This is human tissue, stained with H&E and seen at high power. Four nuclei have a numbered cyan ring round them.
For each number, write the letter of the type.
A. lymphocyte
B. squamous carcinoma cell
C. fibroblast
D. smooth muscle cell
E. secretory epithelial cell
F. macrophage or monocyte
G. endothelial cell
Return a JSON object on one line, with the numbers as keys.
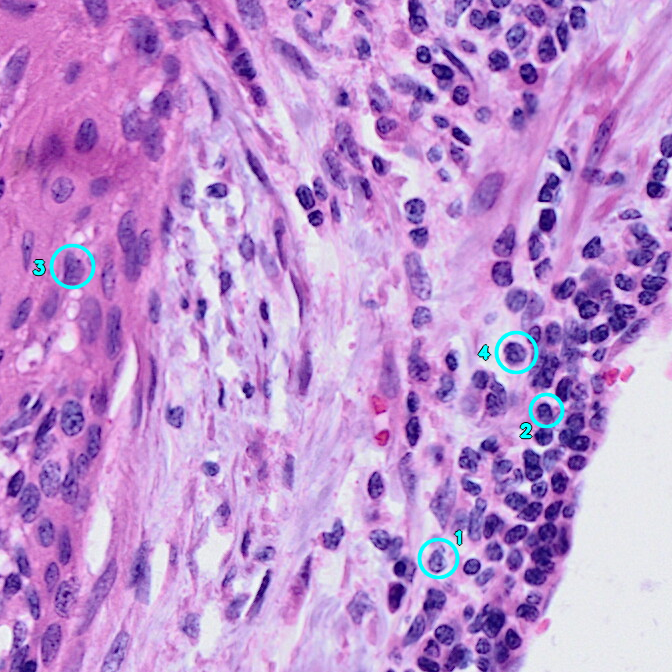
{"1": "A", "2": "A", "3": "B", "4": "A"}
